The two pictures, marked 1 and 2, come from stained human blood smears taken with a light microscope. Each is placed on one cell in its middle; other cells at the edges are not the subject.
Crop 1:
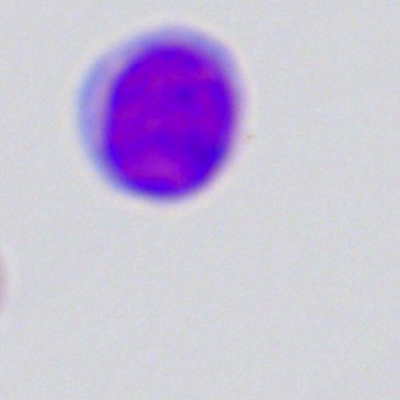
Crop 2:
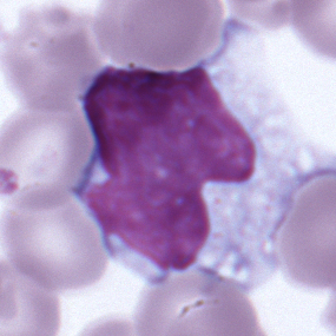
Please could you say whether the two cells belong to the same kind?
no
